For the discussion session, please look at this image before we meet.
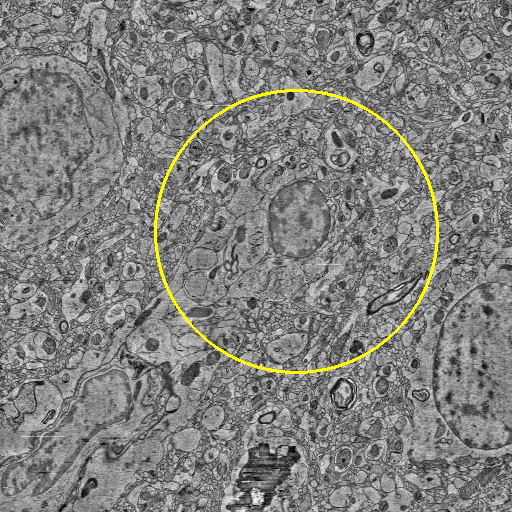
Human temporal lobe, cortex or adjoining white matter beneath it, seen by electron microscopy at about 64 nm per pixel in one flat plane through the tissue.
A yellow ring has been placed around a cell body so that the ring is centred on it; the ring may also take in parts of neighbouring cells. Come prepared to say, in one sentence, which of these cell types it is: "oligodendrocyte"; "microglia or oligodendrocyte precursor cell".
The cell centred in the ring is a microglial cell or oligodendrocyte precursor cell.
